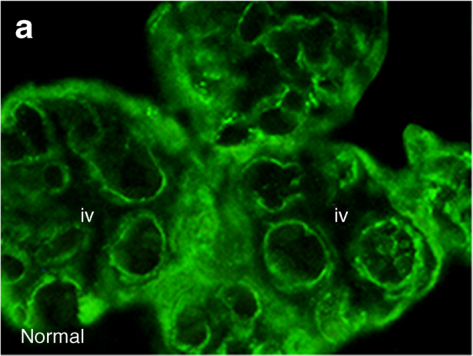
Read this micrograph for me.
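This is placental villous tissue cut across, with the villi filled by many small vessels seen in cross section. The vessels lie close together within a more diffusely green stroma. The outer edge of the villi is also stained green where the covering layer lies.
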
